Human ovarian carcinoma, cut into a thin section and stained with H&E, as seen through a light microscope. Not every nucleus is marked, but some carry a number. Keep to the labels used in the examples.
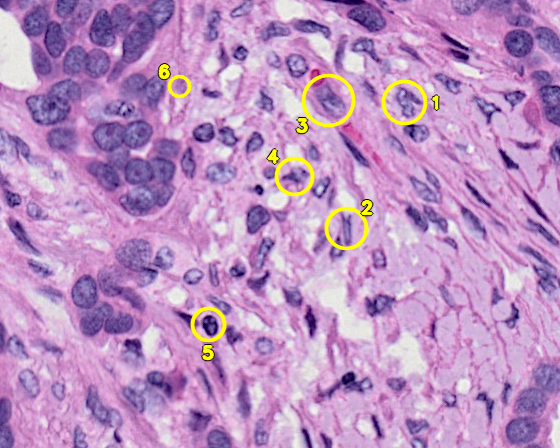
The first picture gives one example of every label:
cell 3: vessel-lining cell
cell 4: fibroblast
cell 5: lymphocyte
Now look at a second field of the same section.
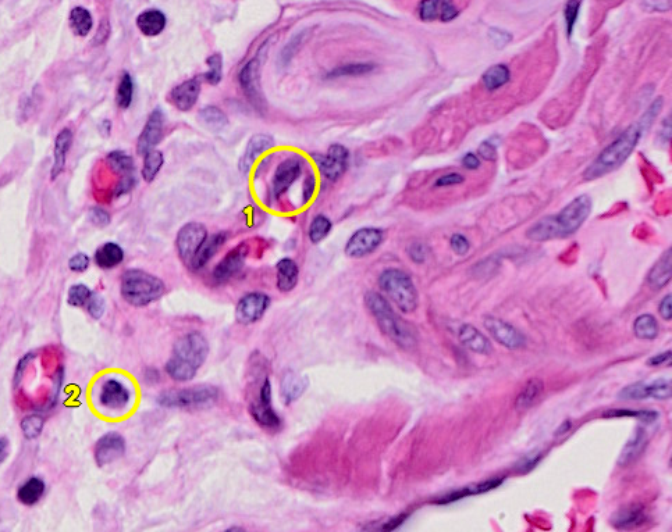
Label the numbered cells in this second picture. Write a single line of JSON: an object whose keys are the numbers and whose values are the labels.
{"1": "vessel-lining cell", "2": "lymphocyte"}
